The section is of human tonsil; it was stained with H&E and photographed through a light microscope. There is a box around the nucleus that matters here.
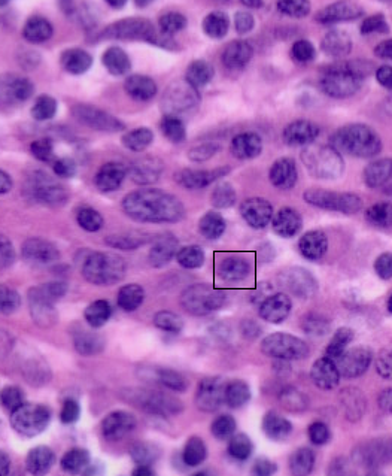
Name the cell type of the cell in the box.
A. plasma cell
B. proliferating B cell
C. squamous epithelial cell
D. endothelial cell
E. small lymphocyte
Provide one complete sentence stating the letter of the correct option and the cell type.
Settle on option A; the cell in the box is a plasma cell.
